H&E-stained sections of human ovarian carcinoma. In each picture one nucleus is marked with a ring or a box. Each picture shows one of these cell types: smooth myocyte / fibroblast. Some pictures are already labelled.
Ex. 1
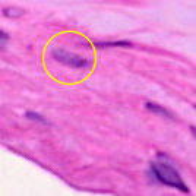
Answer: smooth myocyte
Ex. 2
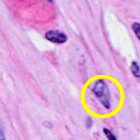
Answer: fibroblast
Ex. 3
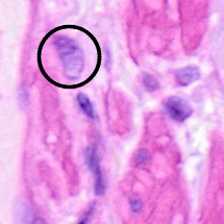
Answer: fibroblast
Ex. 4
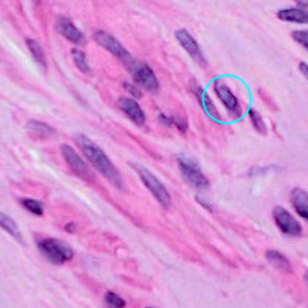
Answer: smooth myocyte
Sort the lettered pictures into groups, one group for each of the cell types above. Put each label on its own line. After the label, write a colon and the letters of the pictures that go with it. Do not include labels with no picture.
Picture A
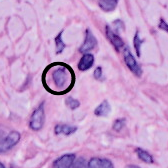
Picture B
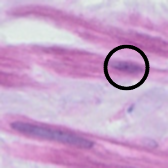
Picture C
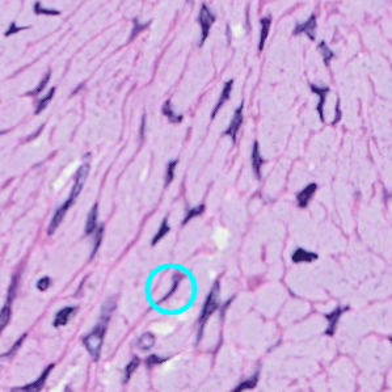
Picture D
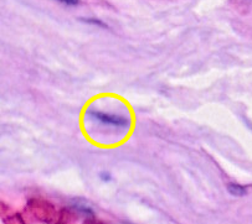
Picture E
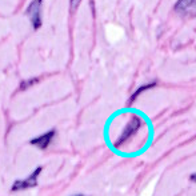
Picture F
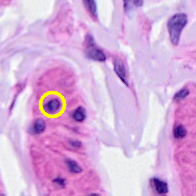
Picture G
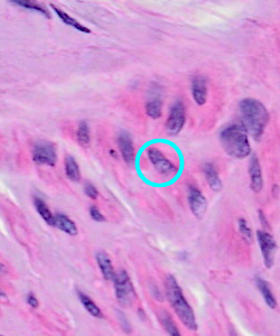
smooth myocyte: B, F, G
fibroblast: A, C, D, E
